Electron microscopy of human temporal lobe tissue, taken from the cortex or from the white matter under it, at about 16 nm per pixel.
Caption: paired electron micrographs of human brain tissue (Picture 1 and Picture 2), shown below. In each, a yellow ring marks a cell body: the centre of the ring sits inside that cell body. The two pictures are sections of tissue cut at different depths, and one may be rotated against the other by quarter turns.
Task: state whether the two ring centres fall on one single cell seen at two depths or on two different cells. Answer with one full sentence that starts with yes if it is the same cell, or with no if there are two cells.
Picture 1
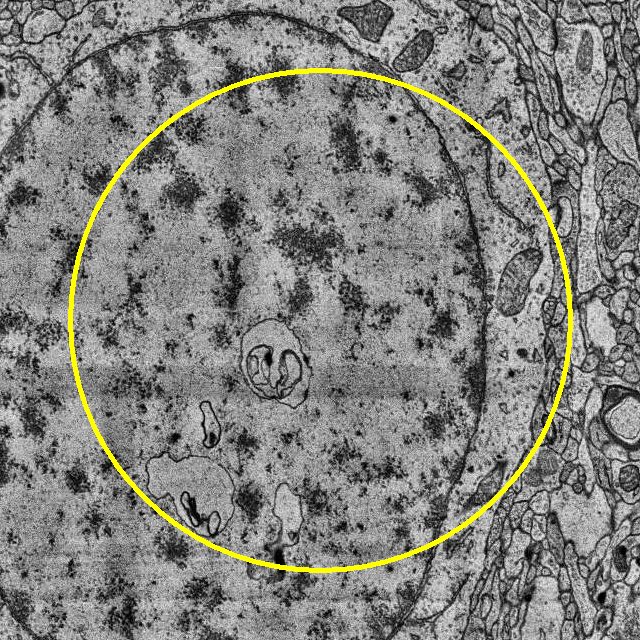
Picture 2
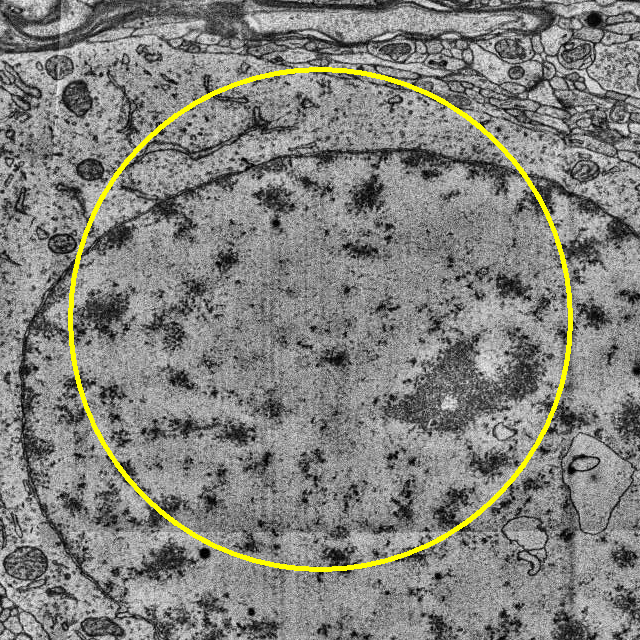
Yes, the two rings refer to one cell in the tissue.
